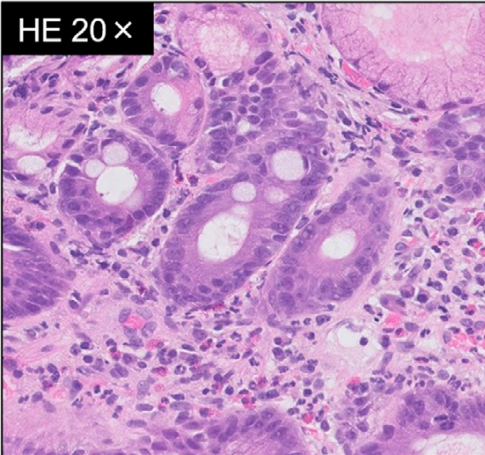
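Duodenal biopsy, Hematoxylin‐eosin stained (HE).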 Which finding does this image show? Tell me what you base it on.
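Many cells with bright red-pink granular cytoplasm lie in the stroma between the glands. These cells have small dark, often lobed nuclei. They are scattered densely through the lamina propria around the crypts. The answer: eosinophilic infiltrates.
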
